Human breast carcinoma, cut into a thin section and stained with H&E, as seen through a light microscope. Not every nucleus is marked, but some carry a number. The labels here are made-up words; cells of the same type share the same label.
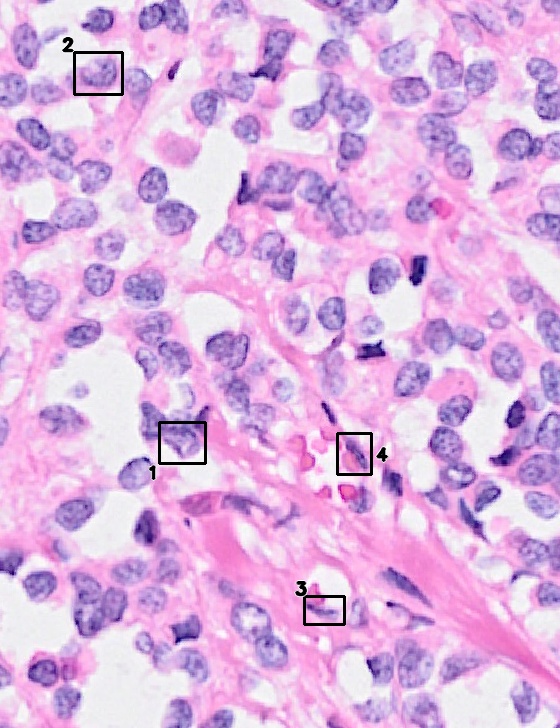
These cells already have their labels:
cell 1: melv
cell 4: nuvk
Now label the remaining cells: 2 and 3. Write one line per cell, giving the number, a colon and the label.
2: melv
3: nuvk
